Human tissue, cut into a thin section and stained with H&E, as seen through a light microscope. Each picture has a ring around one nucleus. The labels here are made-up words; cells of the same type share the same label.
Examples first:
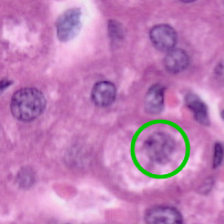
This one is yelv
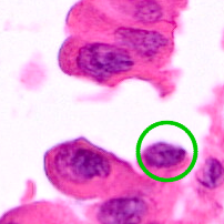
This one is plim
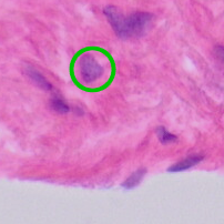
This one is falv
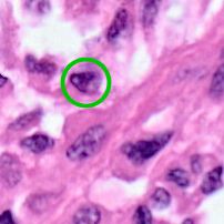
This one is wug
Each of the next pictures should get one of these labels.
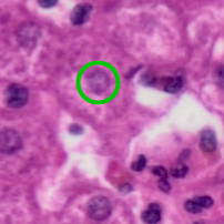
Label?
yelv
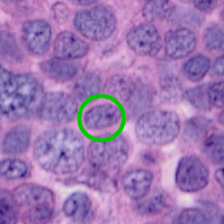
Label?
plim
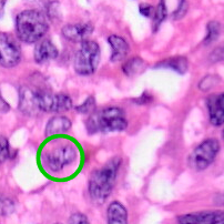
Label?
wug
